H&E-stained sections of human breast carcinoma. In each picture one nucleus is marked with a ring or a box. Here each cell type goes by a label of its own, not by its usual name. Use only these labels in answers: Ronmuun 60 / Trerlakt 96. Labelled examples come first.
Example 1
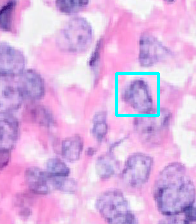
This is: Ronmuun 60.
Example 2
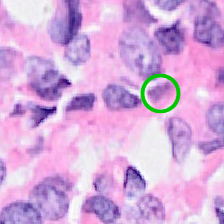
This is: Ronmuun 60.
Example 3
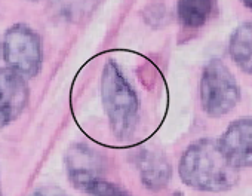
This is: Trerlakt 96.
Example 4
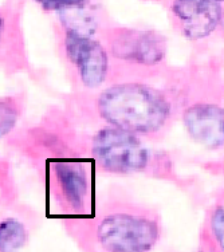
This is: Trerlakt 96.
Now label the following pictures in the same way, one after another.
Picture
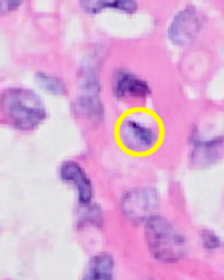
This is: Trerlakt 96.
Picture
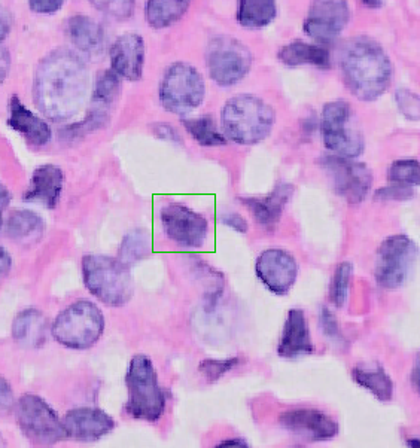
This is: Ronmuun 60.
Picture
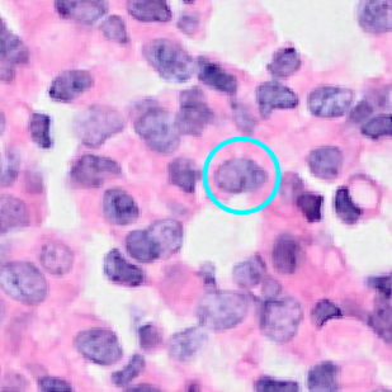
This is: Ronmuun 60.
